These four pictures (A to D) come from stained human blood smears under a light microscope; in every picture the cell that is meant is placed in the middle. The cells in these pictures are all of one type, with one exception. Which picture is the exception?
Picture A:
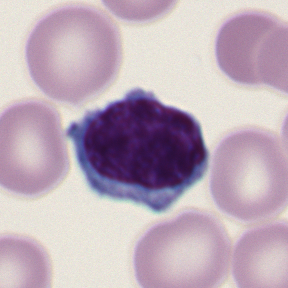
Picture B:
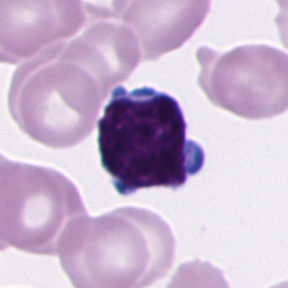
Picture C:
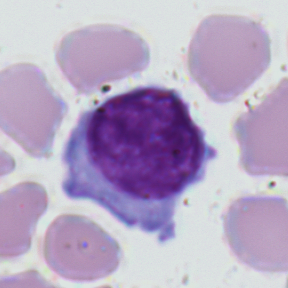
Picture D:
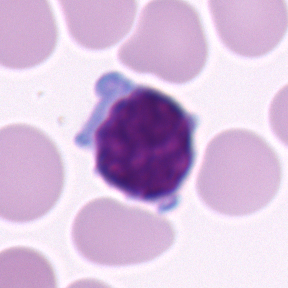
C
